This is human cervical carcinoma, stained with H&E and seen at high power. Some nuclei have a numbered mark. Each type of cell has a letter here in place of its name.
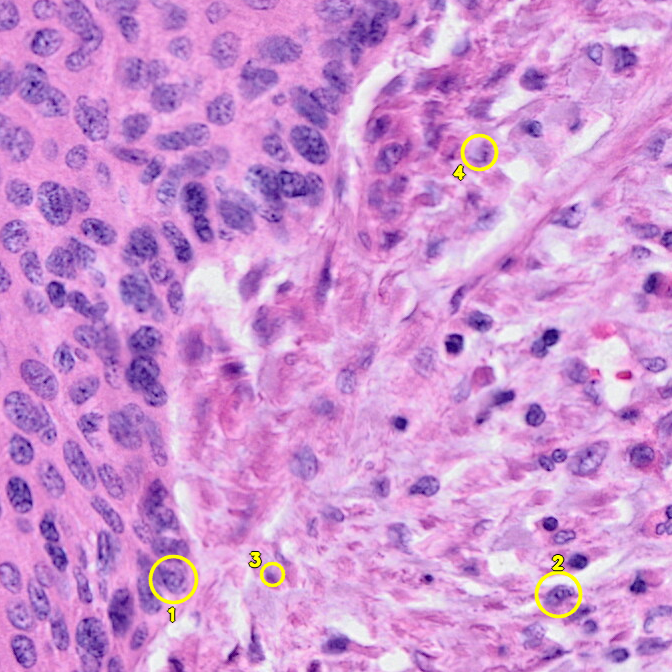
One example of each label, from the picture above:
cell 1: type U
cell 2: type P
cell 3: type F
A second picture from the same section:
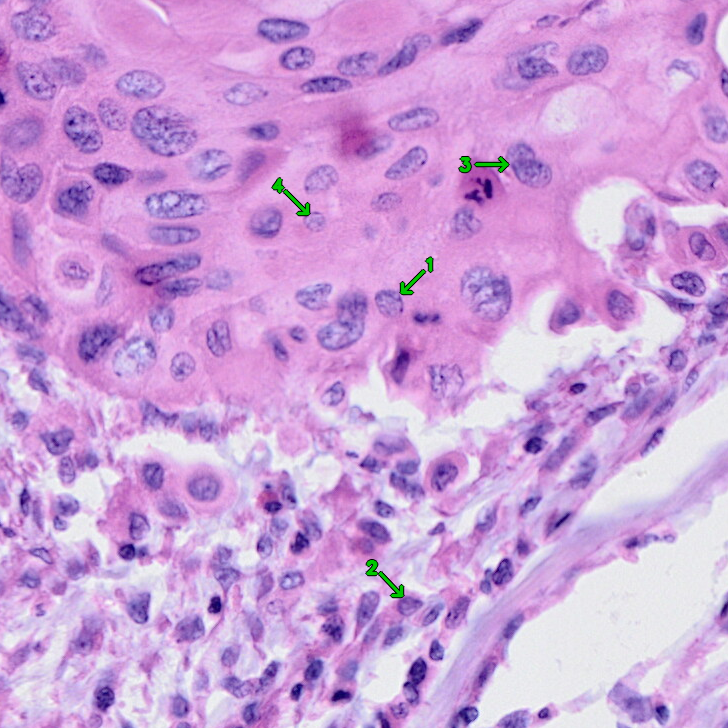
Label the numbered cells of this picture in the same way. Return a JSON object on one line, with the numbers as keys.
{"1": "type U", "2": "type P", "3": "type U", "4": "type U"}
